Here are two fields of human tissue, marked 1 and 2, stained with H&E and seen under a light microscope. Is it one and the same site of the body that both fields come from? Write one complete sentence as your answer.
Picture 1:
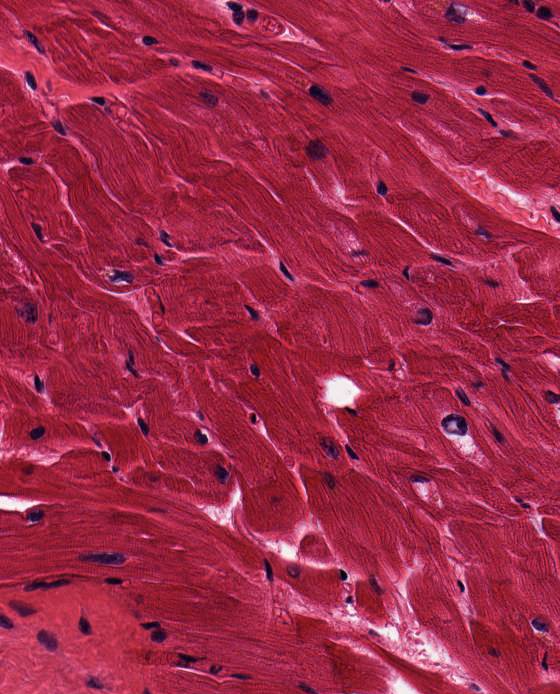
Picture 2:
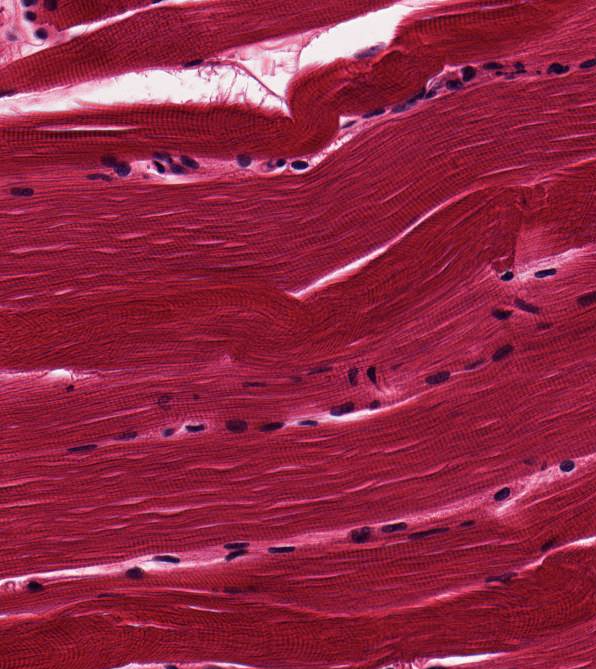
No. Picture 1 comes from the left ventricle of the heart, whereas picture 2 comes from skeletal muscle.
